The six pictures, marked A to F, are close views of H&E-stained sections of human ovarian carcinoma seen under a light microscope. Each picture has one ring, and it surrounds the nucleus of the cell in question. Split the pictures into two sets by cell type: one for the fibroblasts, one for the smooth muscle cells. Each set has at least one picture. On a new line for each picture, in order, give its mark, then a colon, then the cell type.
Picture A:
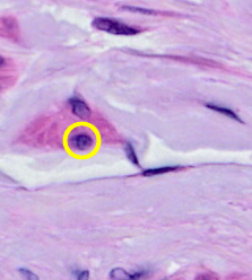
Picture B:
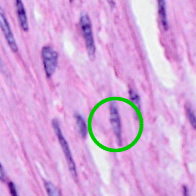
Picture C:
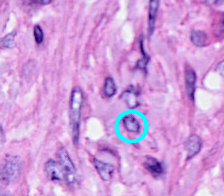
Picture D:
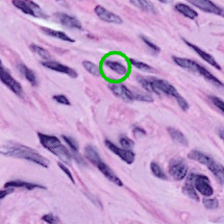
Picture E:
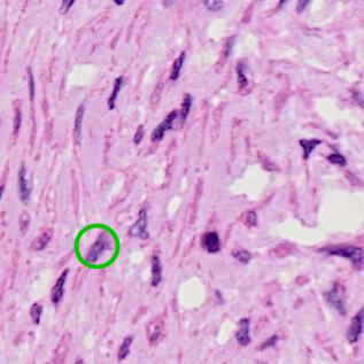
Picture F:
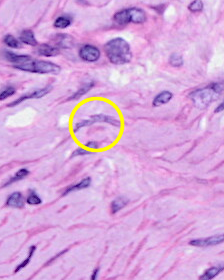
A: smooth muscle cell
B: fibroblast
C: fibroblast
D: smooth muscle cell
E: fibroblast
F: fibroblast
